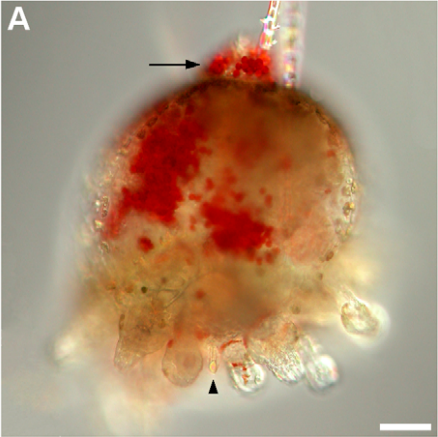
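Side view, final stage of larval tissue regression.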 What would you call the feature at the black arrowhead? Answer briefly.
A: sphaeridium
